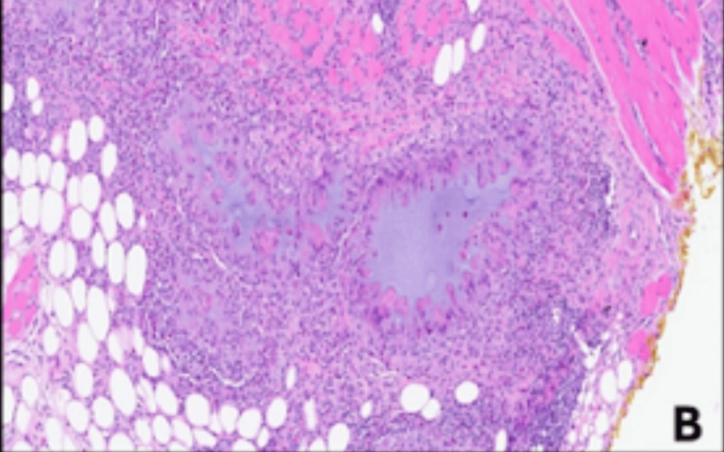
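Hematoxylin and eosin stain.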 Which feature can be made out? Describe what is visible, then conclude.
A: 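Violaceous, homogenous, amorphous material. A central pale violet, smooth, structureless area. It has irregular, jagged edges. It is ringed by a dense cellular rim.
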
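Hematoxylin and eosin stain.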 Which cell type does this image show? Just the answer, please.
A: Histiocytes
